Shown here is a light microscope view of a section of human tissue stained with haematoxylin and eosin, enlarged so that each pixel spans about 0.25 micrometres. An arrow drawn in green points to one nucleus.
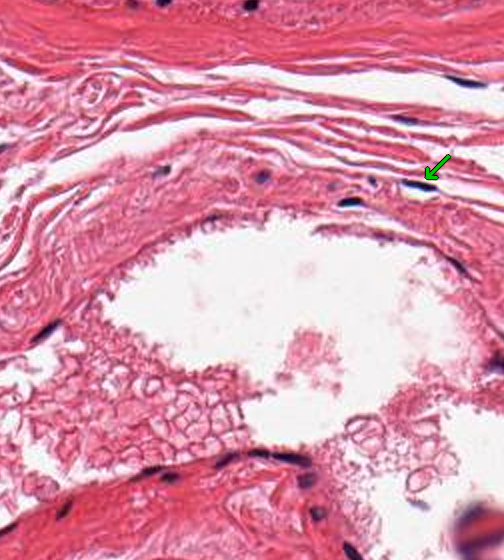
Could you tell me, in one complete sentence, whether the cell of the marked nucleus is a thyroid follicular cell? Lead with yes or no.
No, a supporting cell is the one to which the marked nucleus belongs, not a thyroid follicular cell.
